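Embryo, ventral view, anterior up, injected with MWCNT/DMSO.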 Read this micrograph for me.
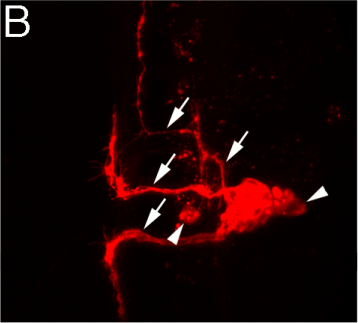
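Several thin axons grow out from the cluster, running leftward and upward and branching along their course. The pattern of cell bodies and axons is organised, with long continuous fibres.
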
